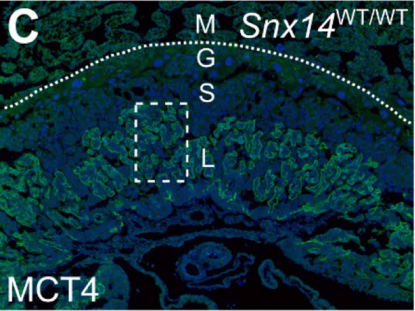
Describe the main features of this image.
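In the lower zone, green lines trace thin membranes that outline a dense, branching network of narrow channels, giving a lacy, convoluted pattern; blue nuclei pack the tissue between these outlines. At the base, thin folded membranes run along the bottom edge of the section. The green outlining is strongest and most continuous across the middle of the lower zone.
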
